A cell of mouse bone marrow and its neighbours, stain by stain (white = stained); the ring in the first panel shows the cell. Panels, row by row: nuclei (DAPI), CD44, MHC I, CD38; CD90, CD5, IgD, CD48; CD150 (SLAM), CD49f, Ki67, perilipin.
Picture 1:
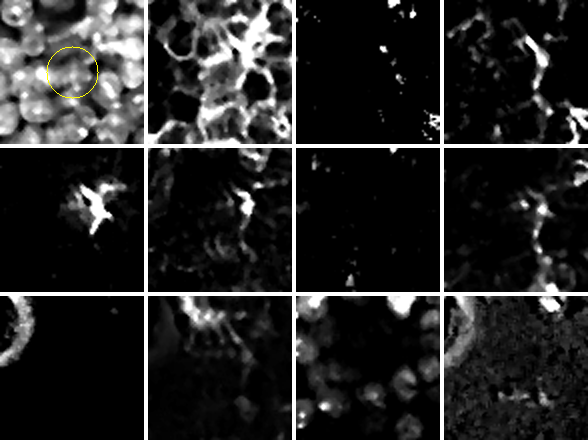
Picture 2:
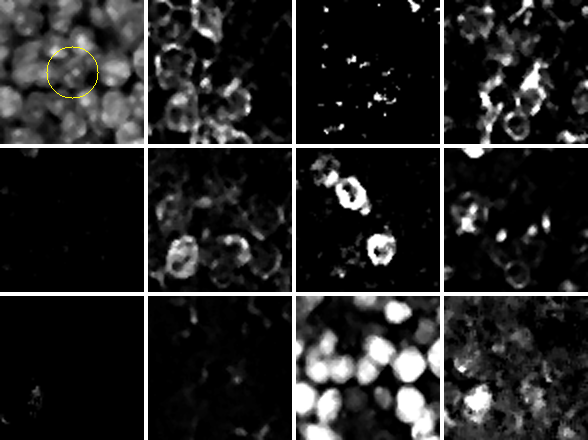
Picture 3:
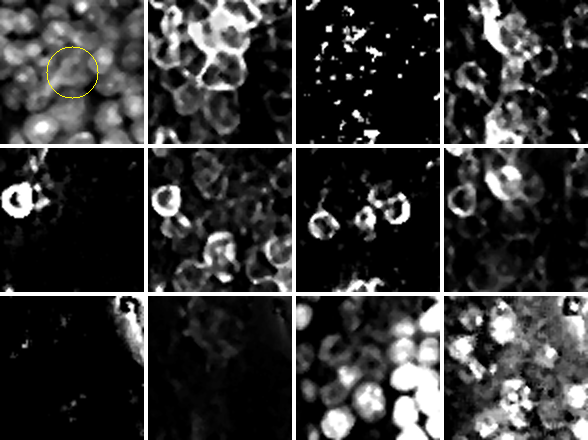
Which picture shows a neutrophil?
Picture 1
